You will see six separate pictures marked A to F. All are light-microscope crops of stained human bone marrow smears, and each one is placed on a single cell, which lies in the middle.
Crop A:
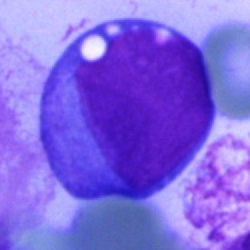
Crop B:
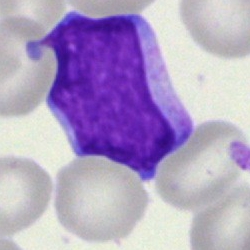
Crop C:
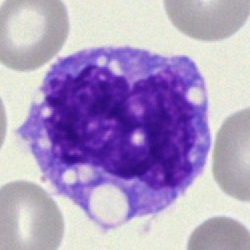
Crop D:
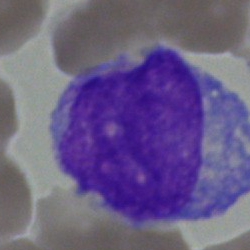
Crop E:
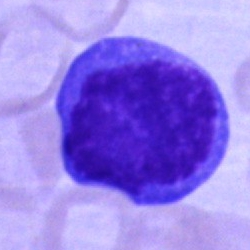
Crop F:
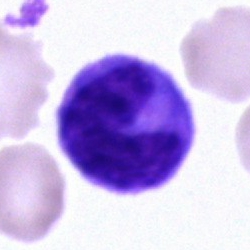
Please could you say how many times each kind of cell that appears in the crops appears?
blast: 3
monocyte: 3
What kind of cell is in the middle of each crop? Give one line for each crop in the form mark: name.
A: blast
B: blast
C: monocyte
D: monocyte
E: blast
F: monocyte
